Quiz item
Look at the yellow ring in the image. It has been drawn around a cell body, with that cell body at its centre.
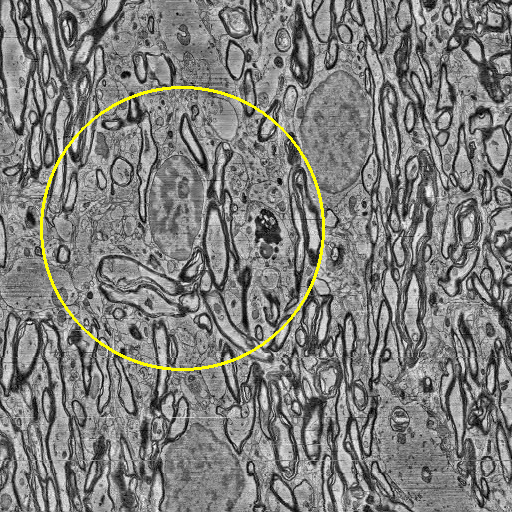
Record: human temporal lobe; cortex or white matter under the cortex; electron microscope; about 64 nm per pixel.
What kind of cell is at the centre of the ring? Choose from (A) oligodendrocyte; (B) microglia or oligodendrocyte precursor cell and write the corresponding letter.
B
